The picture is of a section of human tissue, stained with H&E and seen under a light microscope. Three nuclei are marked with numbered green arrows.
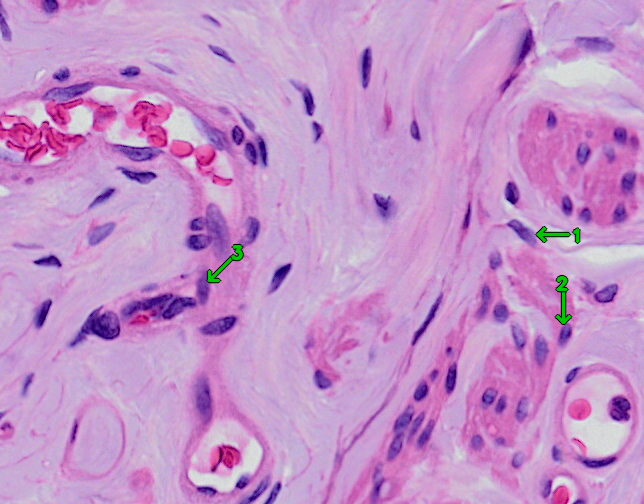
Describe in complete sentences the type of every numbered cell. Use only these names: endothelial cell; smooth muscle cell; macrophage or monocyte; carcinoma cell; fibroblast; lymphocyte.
Cell 1 is a fibroblast, cell 2 is a smooth muscle cell and cell 3 is an endothelial cell.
